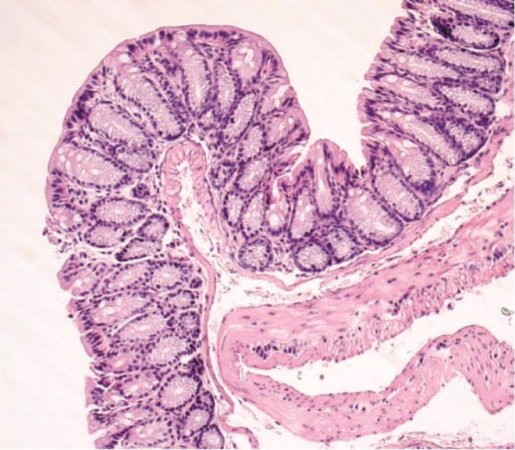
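Colon wall with a mucosa of regularly spaced, straight tubular crypts lined by columnar epithelial cells and many pale goblet cells, separated by a thin lamina propria with few cells. Beneath lie a thin loose submucosa and pink layers of smooth muscle, with no dense cell infiltrate.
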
